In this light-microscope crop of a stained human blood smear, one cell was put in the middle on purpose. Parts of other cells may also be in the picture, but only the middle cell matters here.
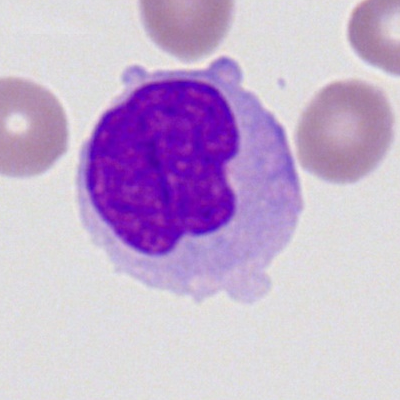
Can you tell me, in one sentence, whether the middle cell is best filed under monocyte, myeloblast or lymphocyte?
Among the cells in view, the one in the middle is a monocyte.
